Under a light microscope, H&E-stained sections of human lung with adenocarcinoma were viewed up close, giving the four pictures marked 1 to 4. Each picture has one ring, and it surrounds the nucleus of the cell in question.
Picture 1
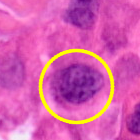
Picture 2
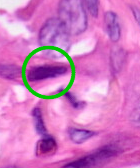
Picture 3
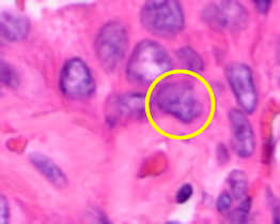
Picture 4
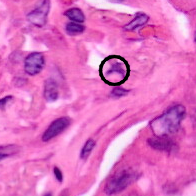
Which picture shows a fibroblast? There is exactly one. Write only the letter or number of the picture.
4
